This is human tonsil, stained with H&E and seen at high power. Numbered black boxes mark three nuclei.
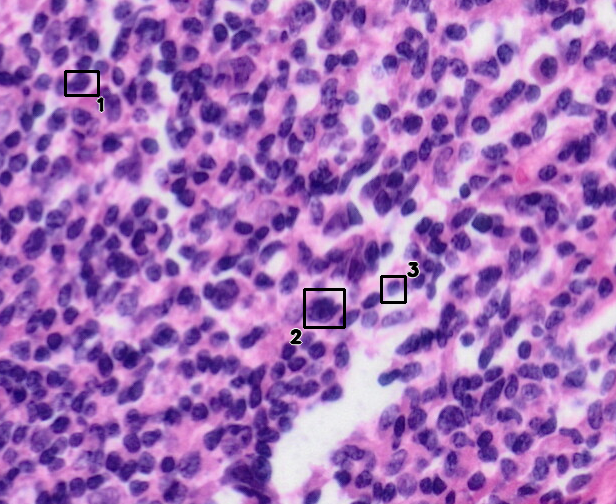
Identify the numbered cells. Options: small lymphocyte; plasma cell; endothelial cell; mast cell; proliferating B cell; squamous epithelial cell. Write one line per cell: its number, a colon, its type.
1: small lymphocyte
2: proliferating B cell
3: small lymphocyte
